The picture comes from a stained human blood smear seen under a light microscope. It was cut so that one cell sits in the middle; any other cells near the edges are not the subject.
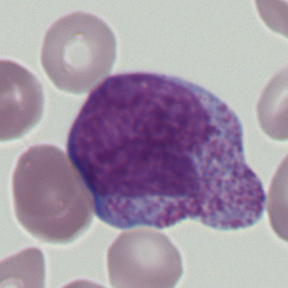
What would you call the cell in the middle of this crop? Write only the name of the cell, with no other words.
atypical promyelocyte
